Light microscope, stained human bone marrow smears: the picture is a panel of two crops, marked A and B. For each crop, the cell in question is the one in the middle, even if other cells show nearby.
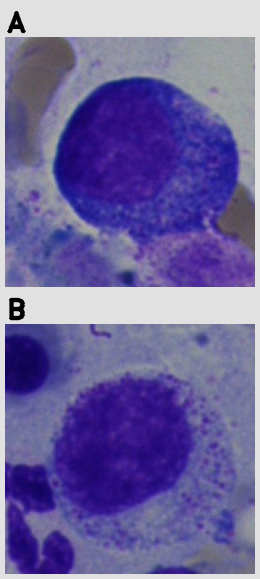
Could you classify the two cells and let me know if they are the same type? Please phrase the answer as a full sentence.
No, the cell shown in crop A is a promyelocyte, and the cell shown in crop B is a myelocyte.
